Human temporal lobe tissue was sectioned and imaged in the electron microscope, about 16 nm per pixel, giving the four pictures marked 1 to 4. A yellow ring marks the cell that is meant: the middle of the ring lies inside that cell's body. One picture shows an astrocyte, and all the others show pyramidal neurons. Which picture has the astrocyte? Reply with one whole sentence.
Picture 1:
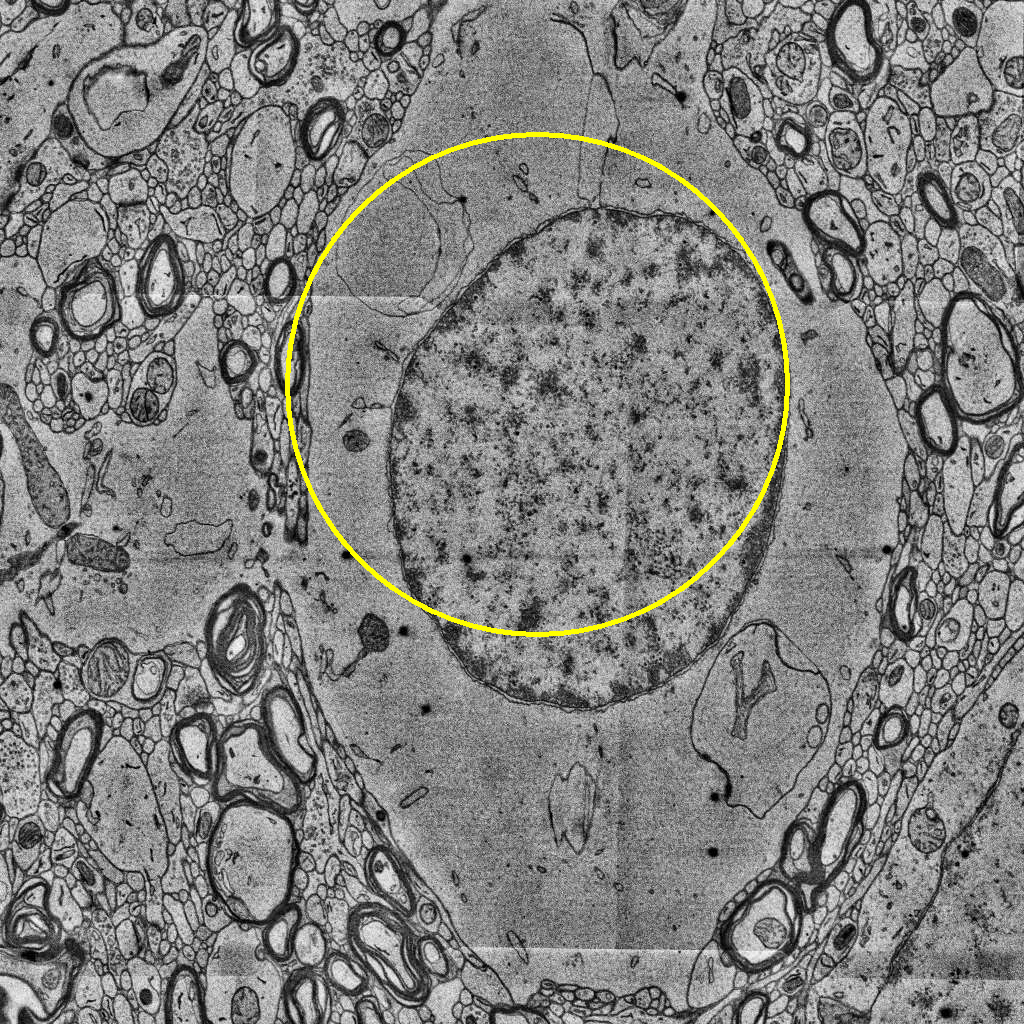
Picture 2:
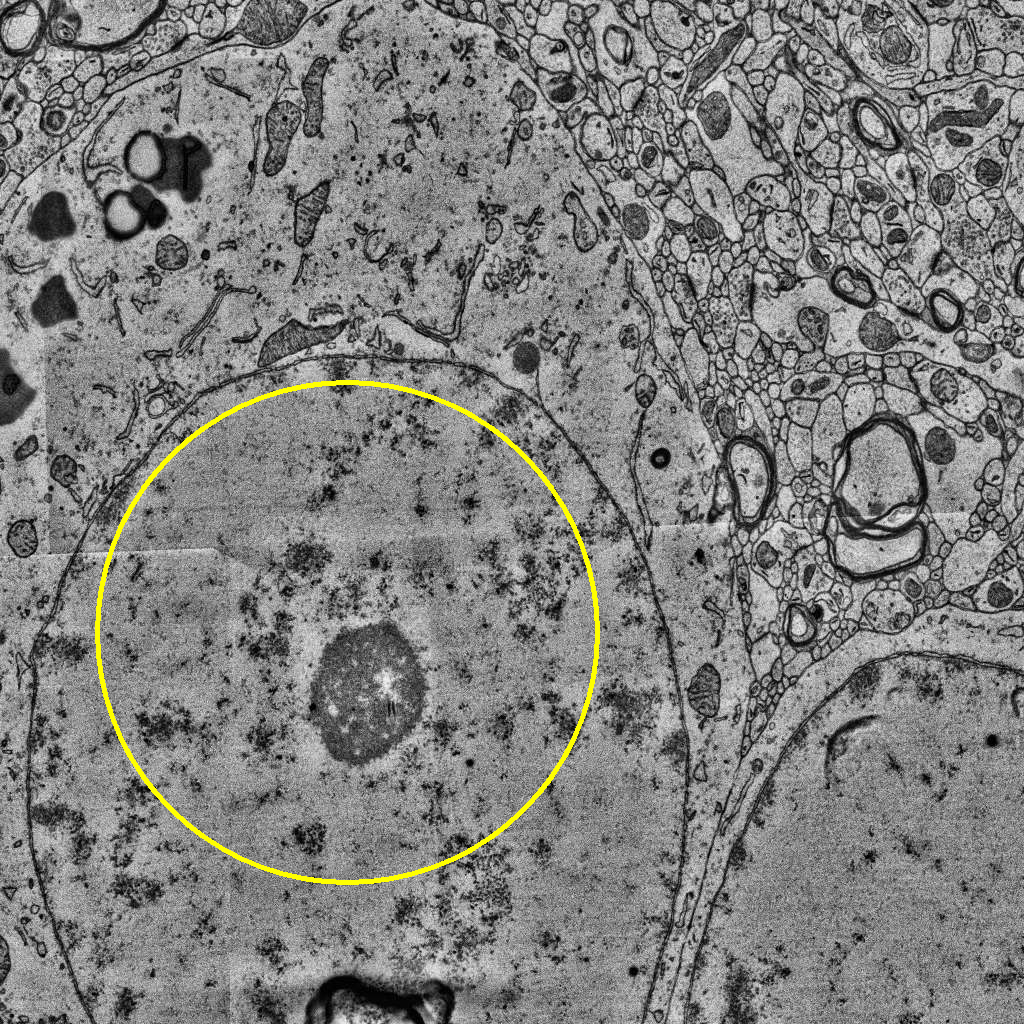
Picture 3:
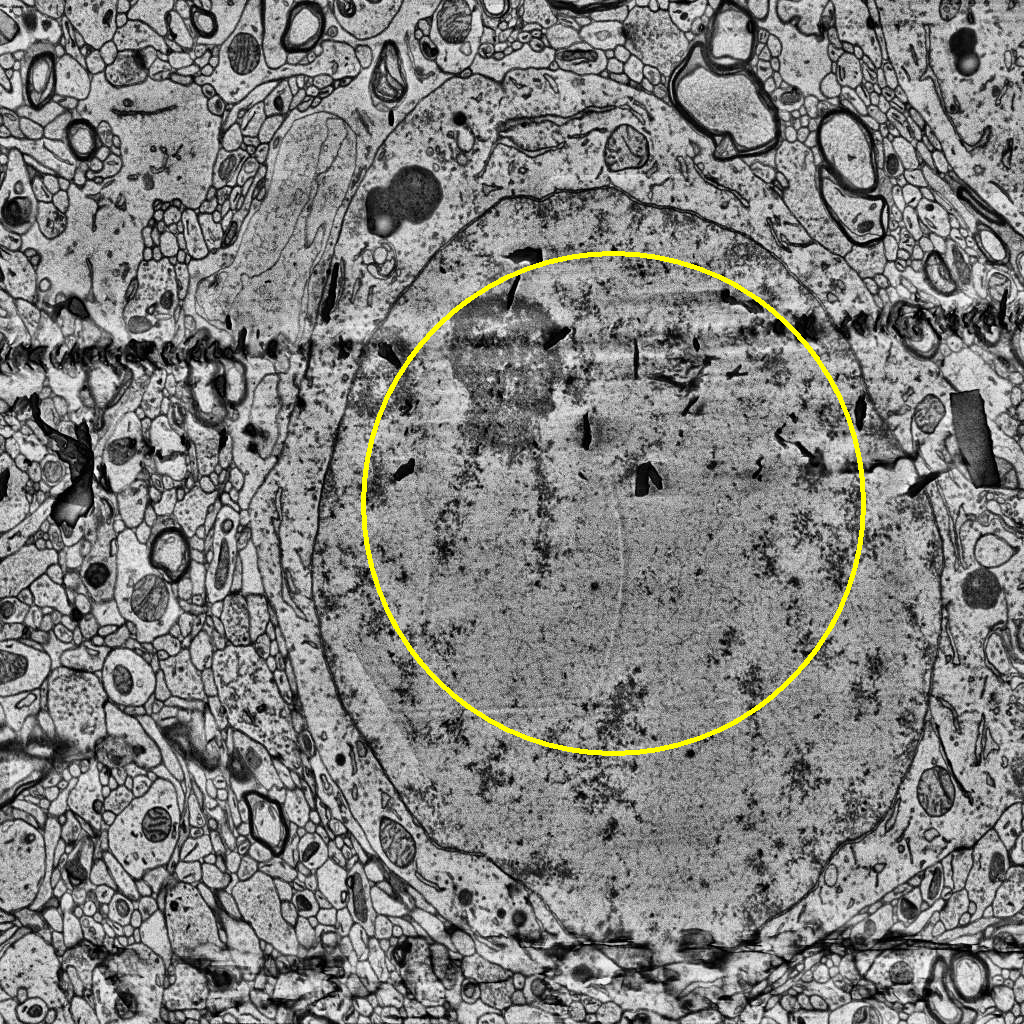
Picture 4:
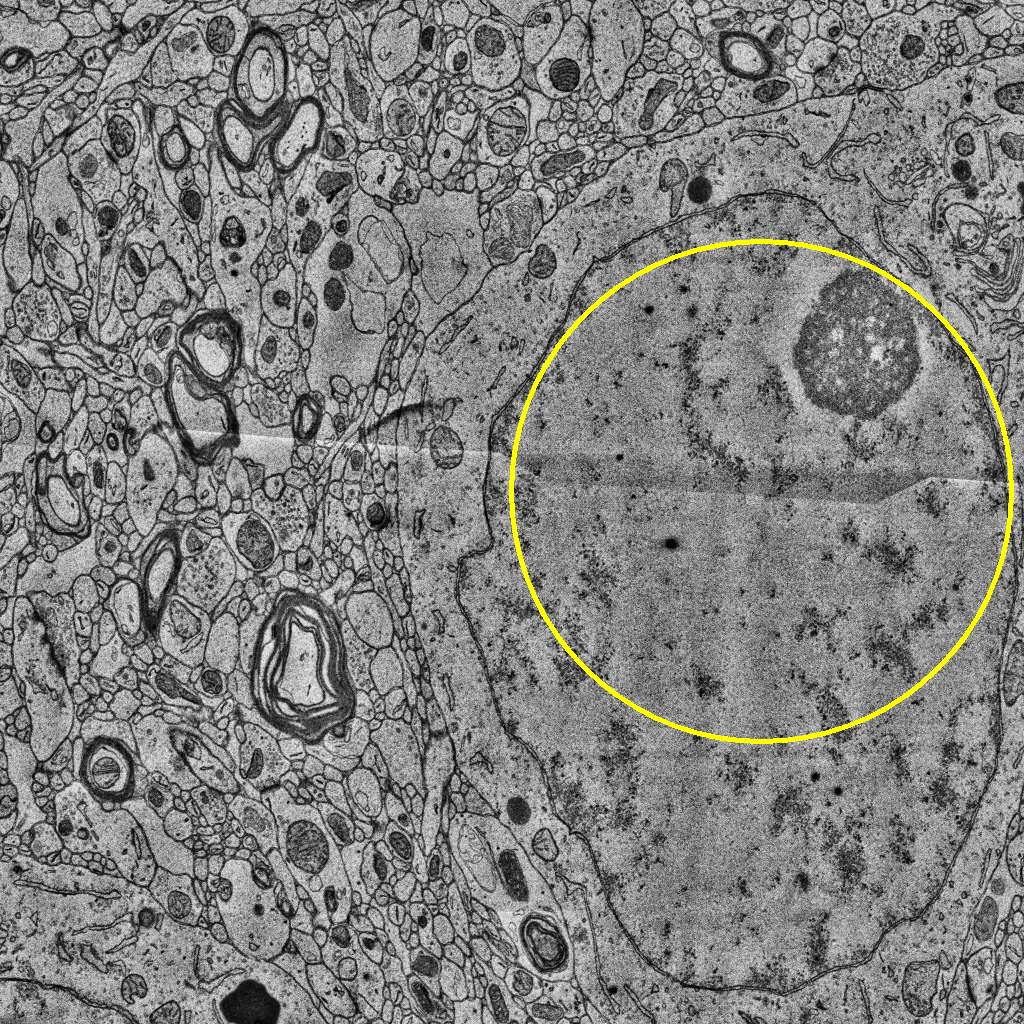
Picture 1 shows the astrocyte.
